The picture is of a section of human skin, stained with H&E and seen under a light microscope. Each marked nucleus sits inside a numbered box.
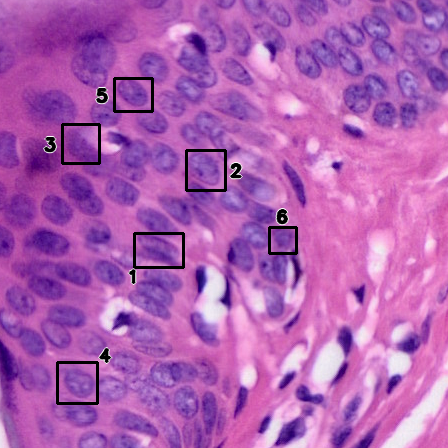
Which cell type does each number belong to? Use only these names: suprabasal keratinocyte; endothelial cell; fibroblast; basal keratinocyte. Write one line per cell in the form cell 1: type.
cell 1: basal keratinocyte
cell 2: basal keratinocyte
cell 3: suprabasal keratinocyte
cell 4: suprabasal keratinocyte
cell 5: suprabasal keratinocyte
cell 6: basal keratinocyte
